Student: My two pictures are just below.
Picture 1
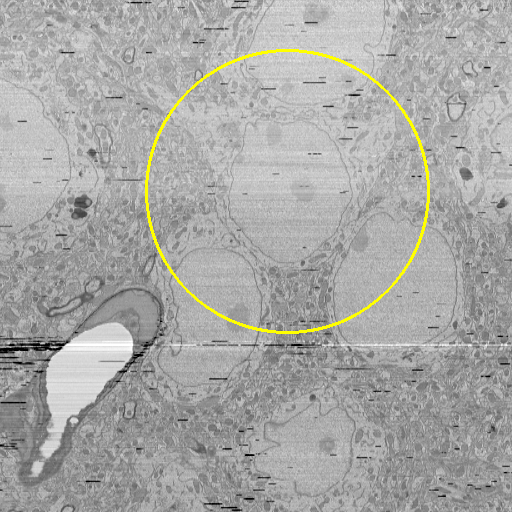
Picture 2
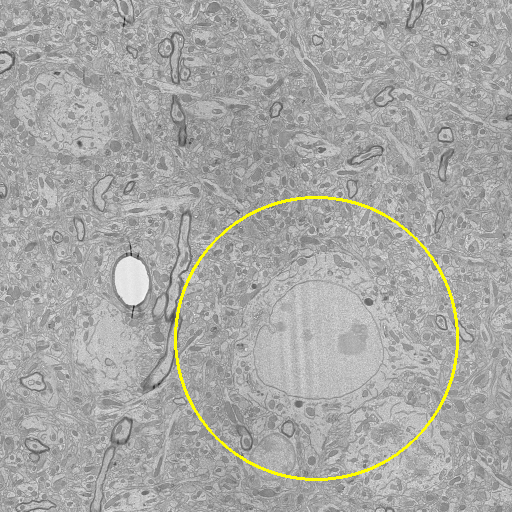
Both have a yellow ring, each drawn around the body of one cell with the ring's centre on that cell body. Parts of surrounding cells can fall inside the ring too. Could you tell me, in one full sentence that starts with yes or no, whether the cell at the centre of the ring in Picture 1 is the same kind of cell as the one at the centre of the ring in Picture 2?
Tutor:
Yes, the two cells are of the same kind.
